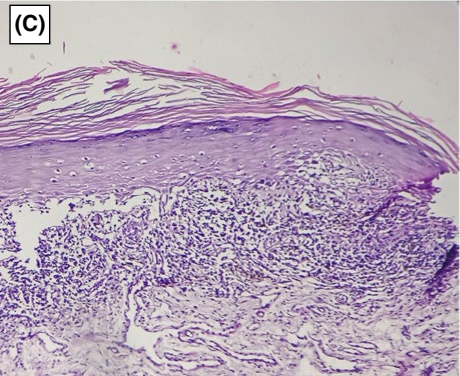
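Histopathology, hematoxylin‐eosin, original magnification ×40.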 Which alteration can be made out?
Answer: Hyperkeratosis.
